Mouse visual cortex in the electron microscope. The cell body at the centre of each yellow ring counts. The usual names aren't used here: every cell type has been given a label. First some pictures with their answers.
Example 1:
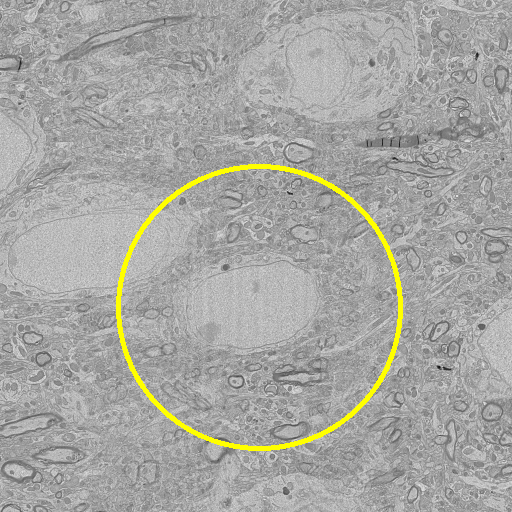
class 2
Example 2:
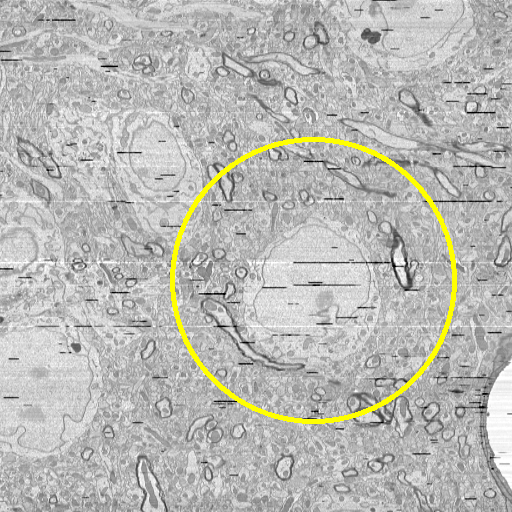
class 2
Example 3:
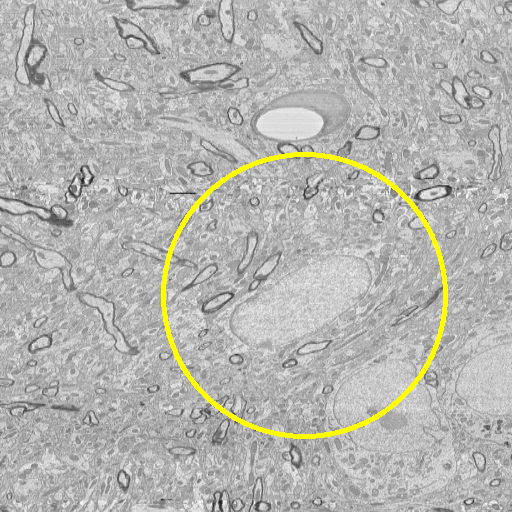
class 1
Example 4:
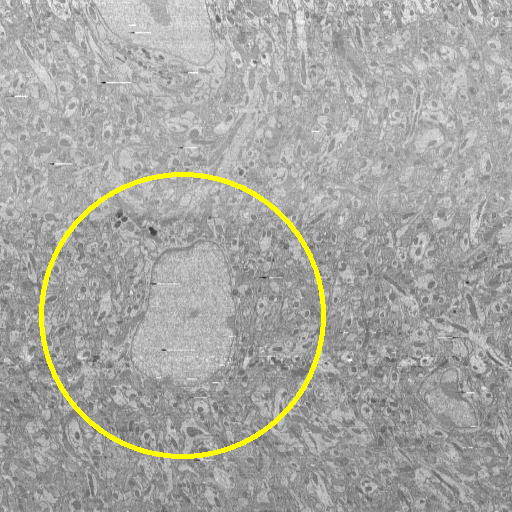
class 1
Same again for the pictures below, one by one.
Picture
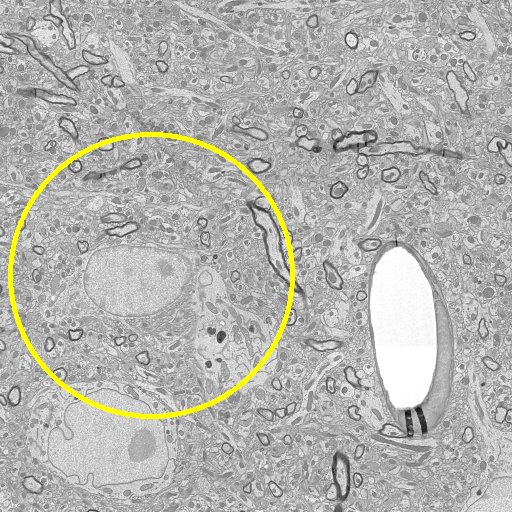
class 1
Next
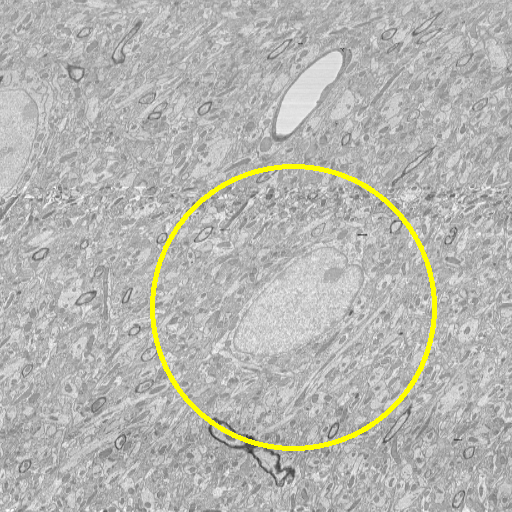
class 1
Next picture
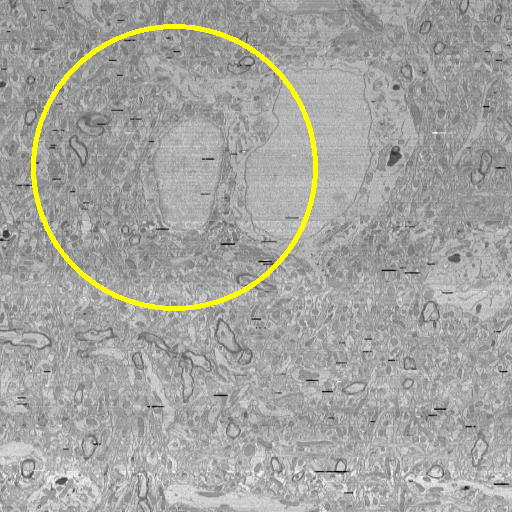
class 1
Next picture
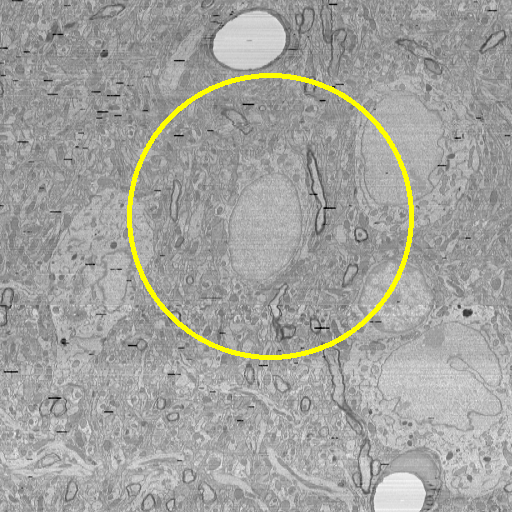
class 1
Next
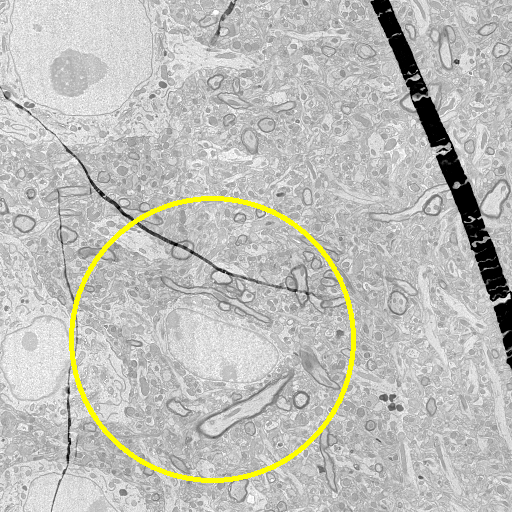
class 1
